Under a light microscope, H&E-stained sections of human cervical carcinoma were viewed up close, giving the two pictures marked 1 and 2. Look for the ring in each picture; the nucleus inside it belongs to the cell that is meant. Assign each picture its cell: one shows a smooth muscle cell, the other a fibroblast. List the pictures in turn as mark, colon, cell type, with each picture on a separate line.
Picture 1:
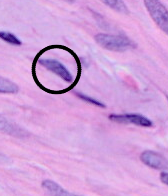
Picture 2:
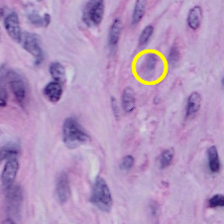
1: fibroblast
2: smooth muscle cell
